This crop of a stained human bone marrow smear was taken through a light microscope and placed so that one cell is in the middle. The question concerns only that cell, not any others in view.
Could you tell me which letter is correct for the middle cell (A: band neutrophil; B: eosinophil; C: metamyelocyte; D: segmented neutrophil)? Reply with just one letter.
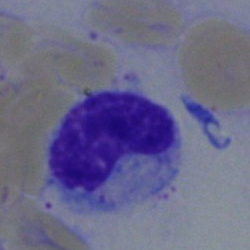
C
